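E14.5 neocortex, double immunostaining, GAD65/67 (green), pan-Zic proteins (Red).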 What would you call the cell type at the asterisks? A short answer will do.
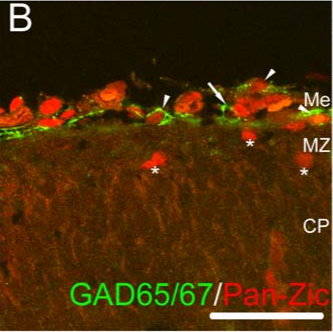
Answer: Cajal-Retzius cells.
